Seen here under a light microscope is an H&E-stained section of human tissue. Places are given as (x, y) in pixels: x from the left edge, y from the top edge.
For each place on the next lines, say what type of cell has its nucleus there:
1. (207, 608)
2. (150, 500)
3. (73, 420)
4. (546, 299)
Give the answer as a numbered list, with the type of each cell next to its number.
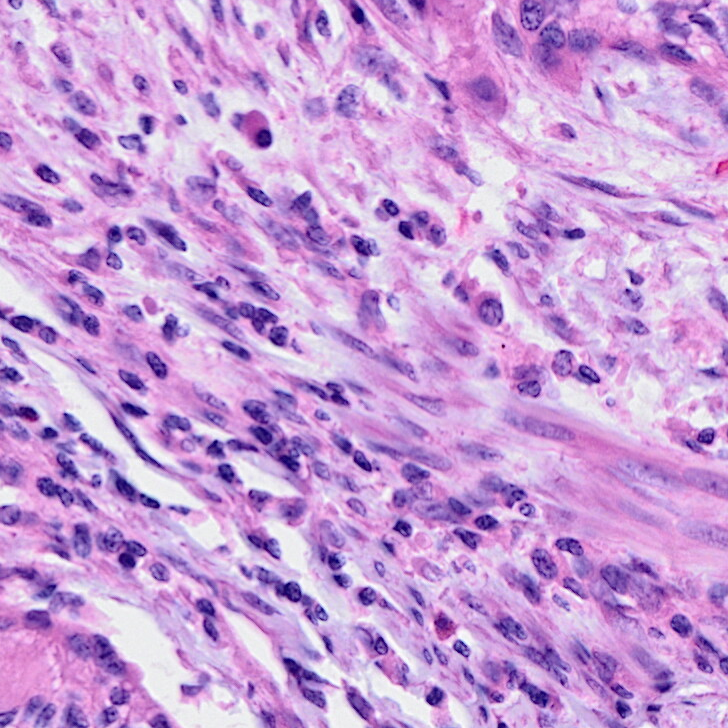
1. lymphocyte
2. lymphocyte
3. lymphocyte
4. fibroblast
